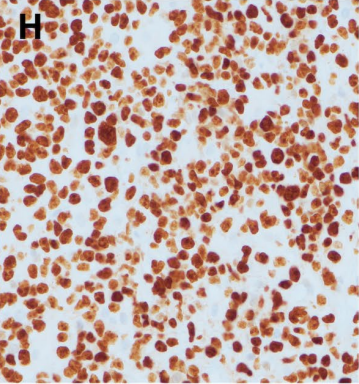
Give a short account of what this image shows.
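This is a densely cellular tumor in which the great majority of nuclei are stained dark brown on a pale background. The brown nuclei are round to oval and vary in size and intensity, some darker and larger than others. Only a few nuclei remain pale blue and unstained.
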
